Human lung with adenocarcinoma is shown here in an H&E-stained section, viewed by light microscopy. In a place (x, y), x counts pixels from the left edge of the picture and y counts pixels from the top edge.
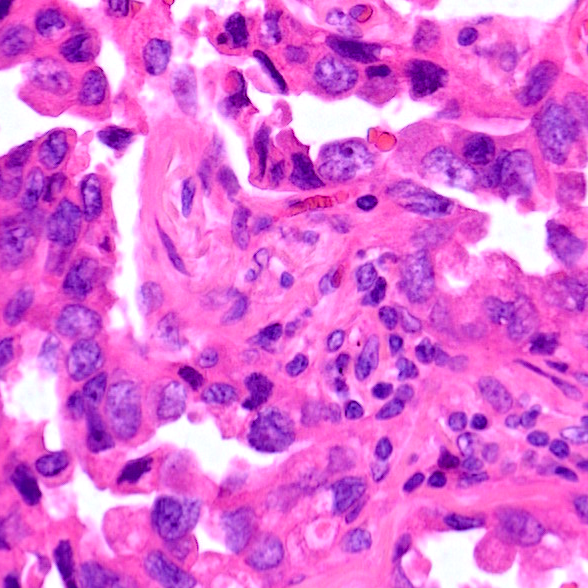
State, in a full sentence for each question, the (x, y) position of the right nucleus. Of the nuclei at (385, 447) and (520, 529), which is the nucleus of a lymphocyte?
Which one belongs to a lymphocyte? The nucleus at (385, 447) does.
